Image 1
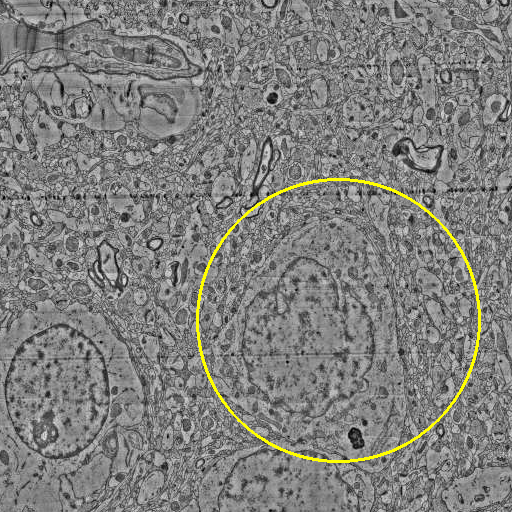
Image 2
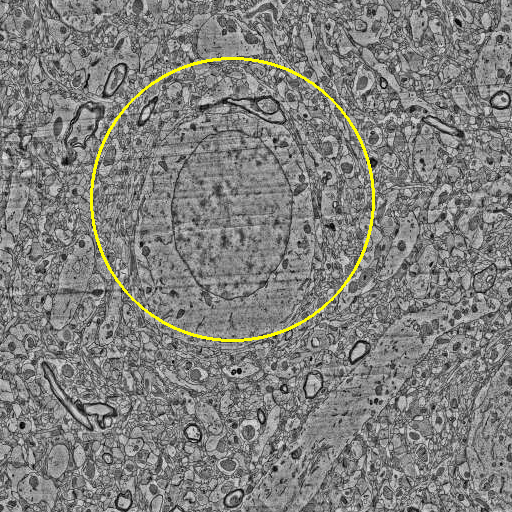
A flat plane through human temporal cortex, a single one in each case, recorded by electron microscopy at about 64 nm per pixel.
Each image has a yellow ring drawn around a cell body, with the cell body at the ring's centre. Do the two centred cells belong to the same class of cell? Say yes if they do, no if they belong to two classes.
no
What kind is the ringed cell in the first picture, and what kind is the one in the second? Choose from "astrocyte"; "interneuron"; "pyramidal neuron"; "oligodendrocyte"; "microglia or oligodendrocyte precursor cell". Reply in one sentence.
The first cell is an interneuron; the second is a pyramidal neuron.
